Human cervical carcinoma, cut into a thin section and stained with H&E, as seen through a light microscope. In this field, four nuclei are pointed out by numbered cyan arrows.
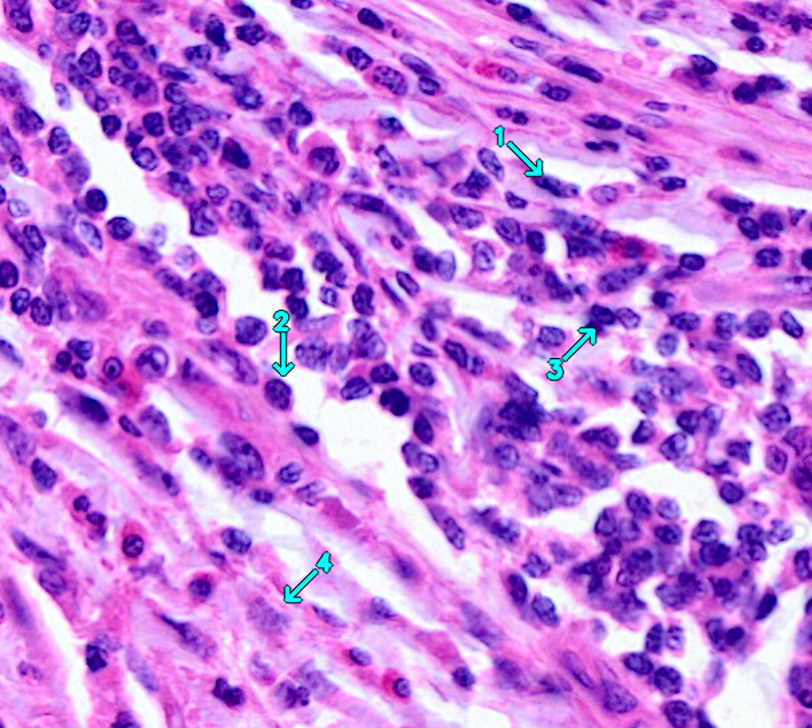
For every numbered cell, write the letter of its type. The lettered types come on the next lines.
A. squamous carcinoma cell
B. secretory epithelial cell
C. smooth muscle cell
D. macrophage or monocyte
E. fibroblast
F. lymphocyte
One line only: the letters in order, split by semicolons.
F; F; F; E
